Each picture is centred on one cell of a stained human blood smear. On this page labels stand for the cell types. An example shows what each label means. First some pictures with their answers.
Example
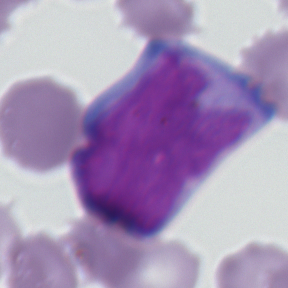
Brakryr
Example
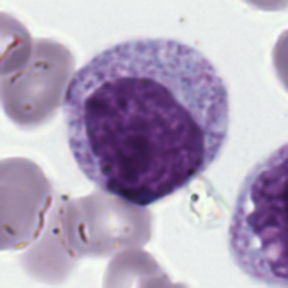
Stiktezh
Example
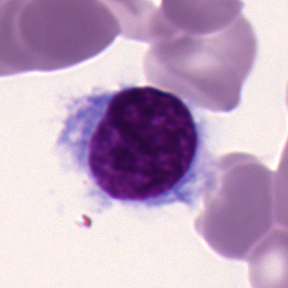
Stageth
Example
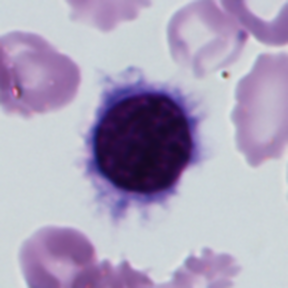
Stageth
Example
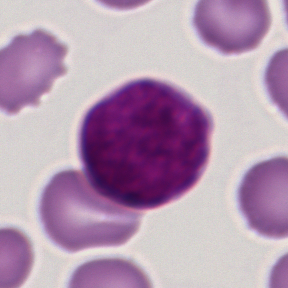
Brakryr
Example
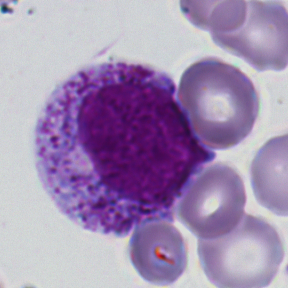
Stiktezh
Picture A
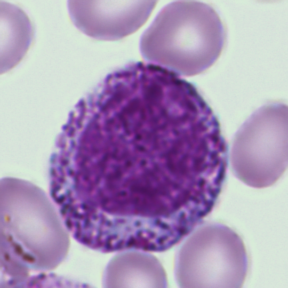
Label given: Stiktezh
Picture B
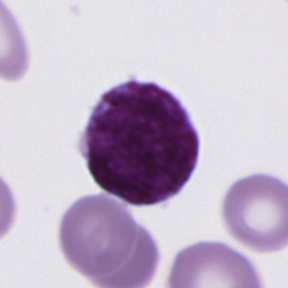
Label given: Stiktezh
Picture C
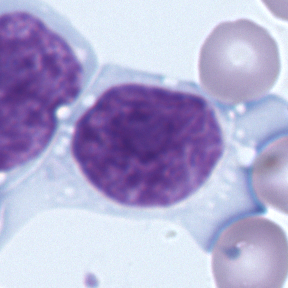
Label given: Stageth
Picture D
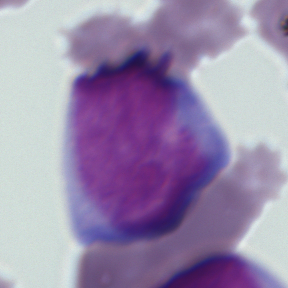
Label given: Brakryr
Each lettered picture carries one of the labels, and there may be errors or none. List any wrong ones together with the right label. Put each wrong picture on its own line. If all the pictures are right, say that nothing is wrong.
B should be Brakryr, not Stiktezh
C should be Brakryr, not Stageth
